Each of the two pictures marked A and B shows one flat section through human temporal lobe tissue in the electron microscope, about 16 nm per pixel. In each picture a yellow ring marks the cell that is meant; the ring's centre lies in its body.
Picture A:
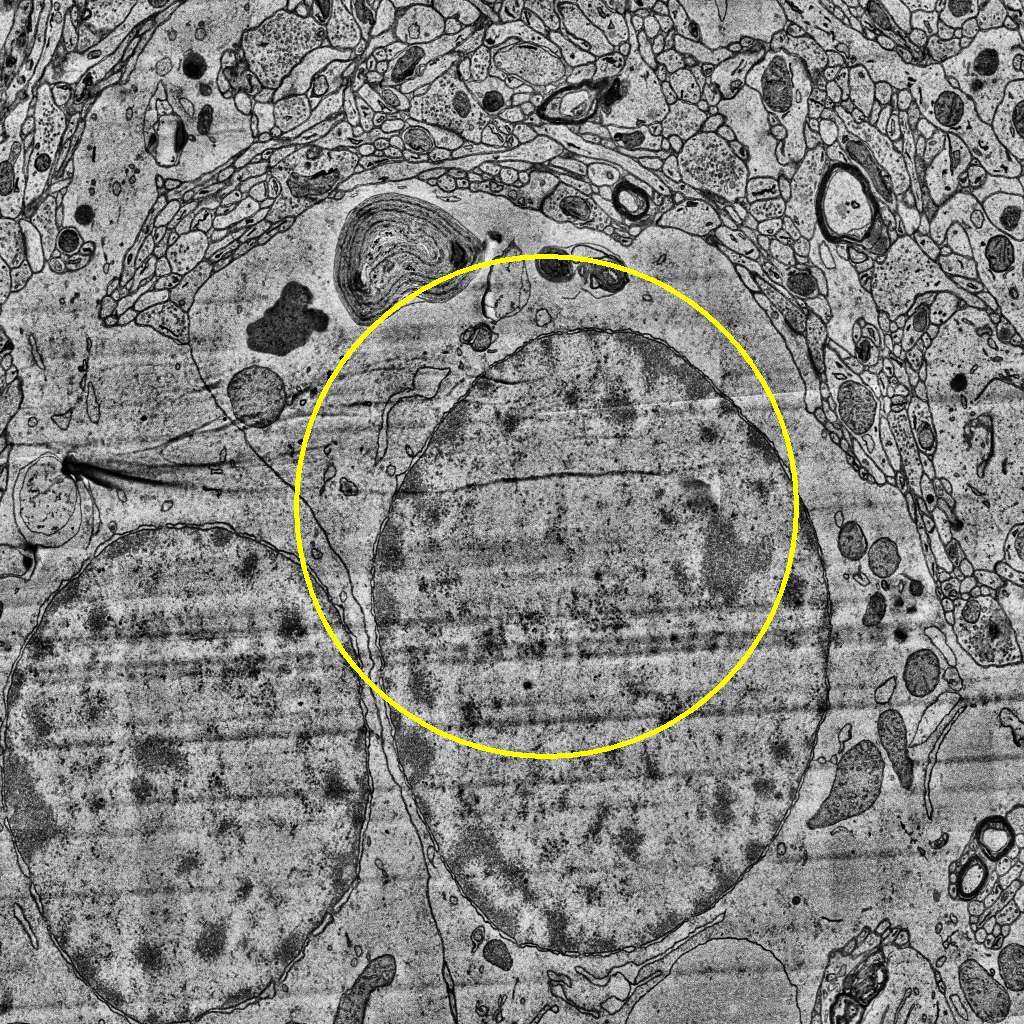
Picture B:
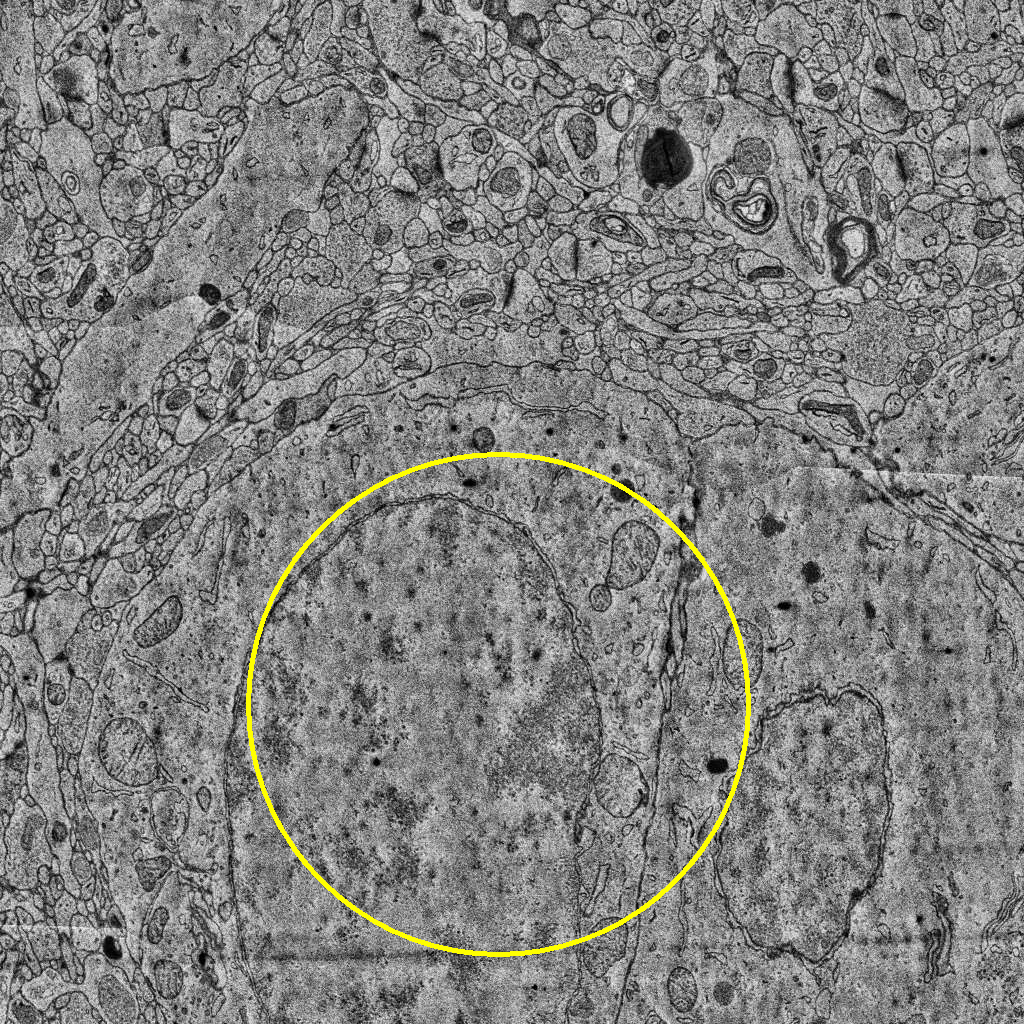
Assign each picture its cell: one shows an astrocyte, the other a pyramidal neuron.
It is picture A that shows an astrocyte, and picture B that shows a pyramidal neuron.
